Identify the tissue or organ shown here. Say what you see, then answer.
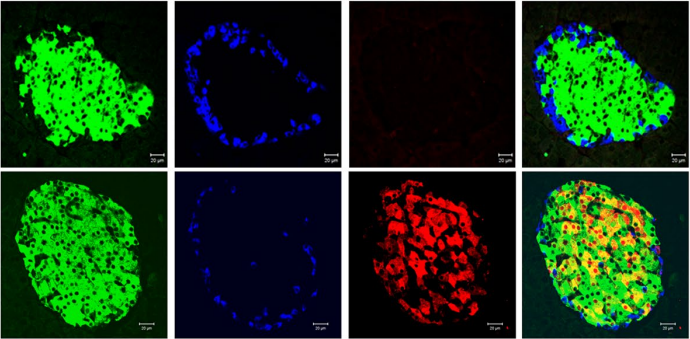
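Islets. A compact, rounded cluster of cells set apart from the surrounding tissue. Most cells of the cluster are filled with green fluorescence. Blue cells lie mostly along the edge of the cluster.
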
